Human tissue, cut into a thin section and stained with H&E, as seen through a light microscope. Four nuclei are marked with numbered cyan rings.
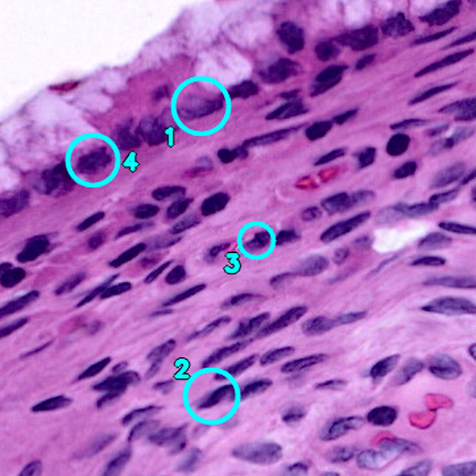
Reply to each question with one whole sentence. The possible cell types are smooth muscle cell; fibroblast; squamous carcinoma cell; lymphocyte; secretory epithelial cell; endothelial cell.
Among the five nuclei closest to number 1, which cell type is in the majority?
Of the five nuclei nearest to number 1, most belong to secretory epithelial cells.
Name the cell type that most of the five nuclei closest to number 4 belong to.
Secretory epithelial cells make up most of the five nuclei closest to number 4.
